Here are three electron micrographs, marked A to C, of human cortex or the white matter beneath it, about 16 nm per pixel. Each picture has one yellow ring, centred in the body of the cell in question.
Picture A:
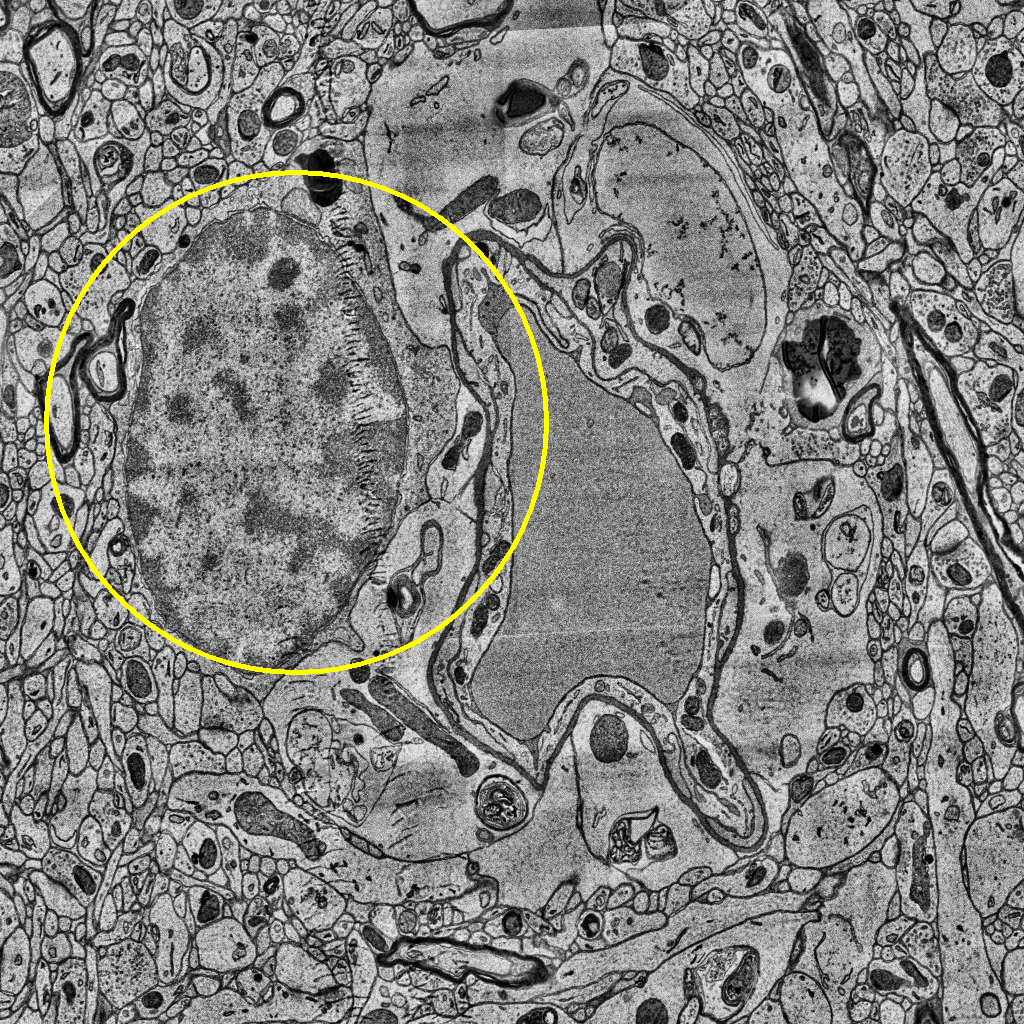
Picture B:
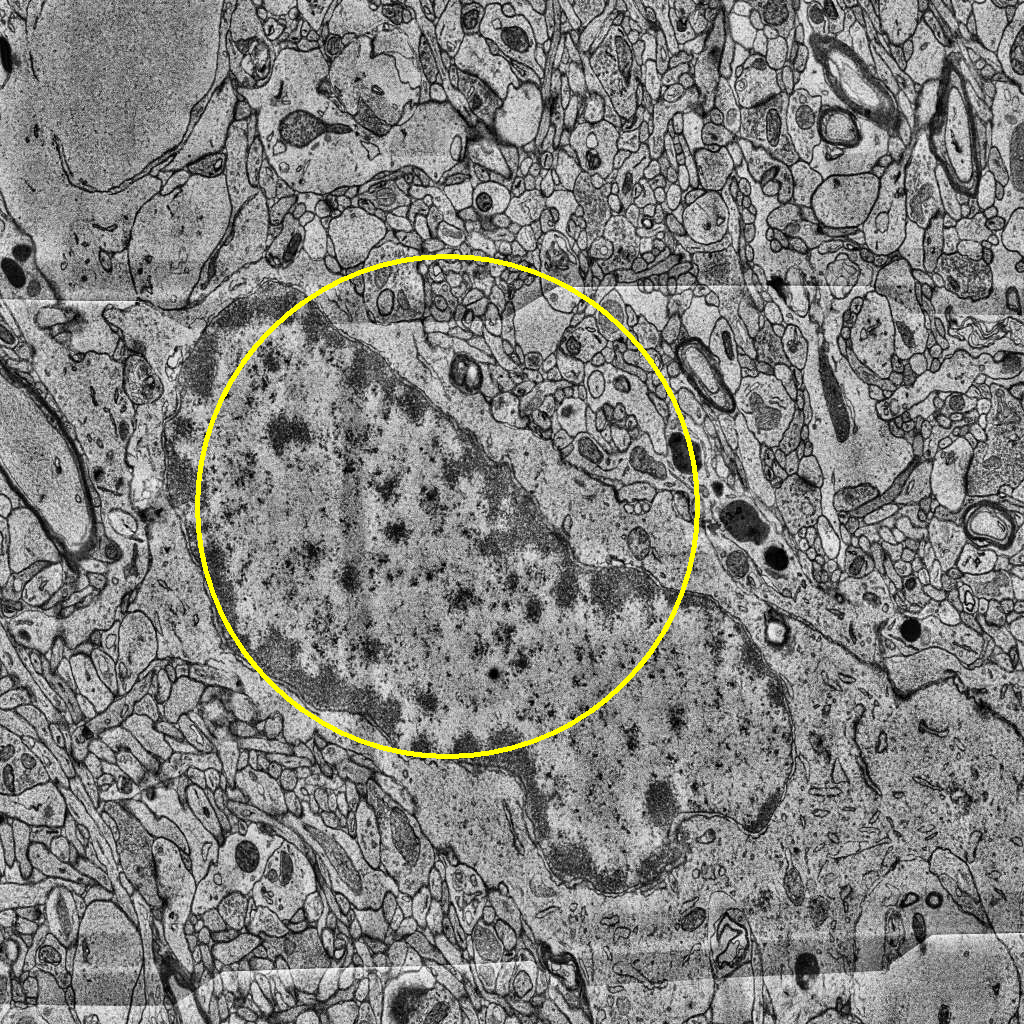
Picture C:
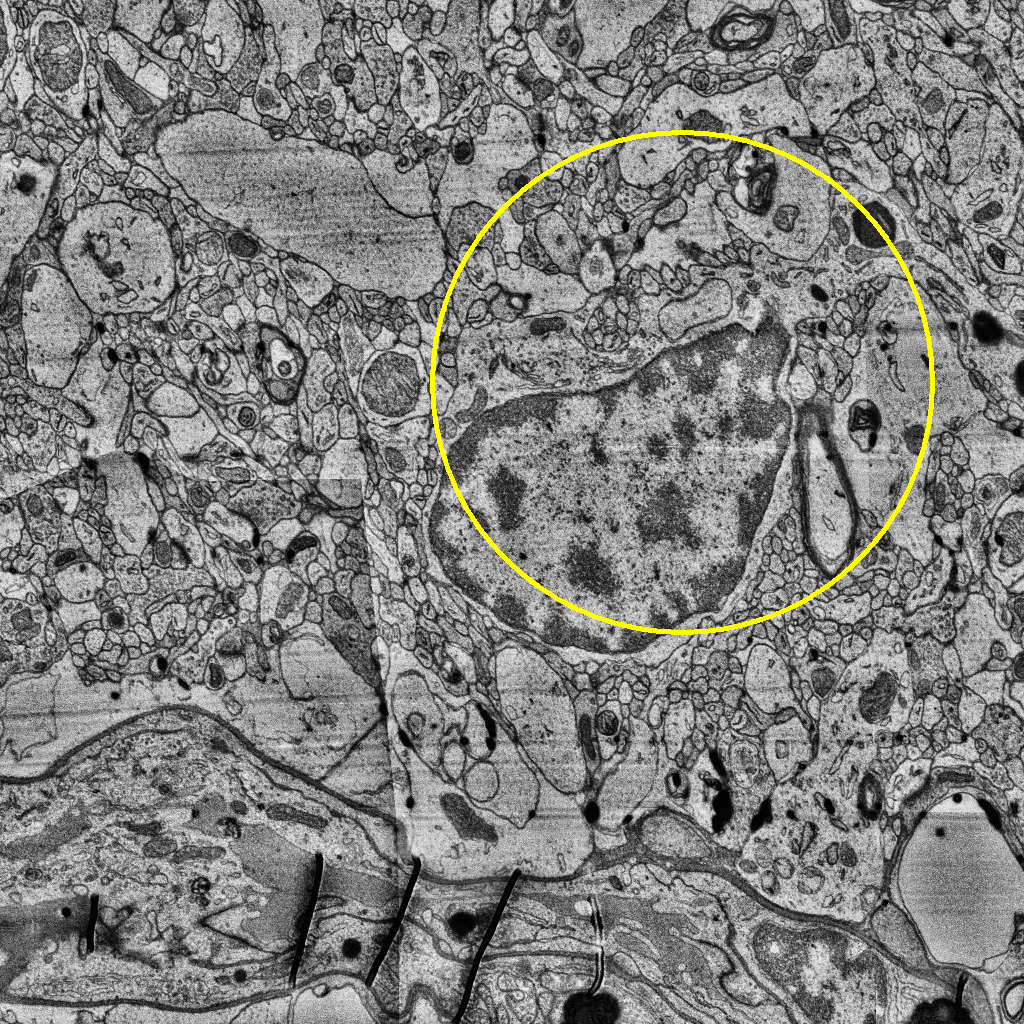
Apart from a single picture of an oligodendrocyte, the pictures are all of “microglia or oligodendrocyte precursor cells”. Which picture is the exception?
It is picture A that shows the oligodendrocyte.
